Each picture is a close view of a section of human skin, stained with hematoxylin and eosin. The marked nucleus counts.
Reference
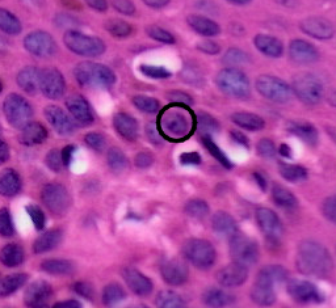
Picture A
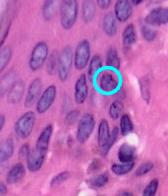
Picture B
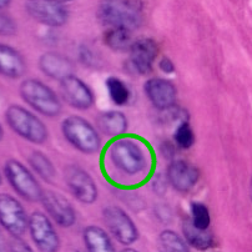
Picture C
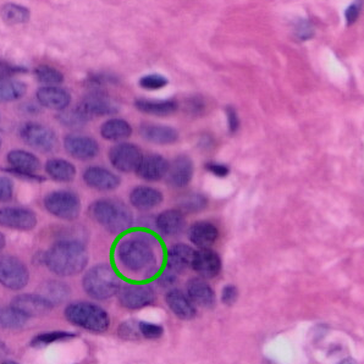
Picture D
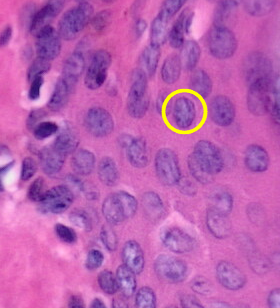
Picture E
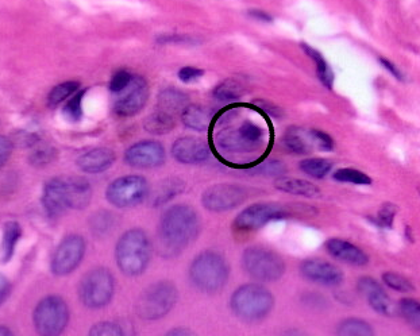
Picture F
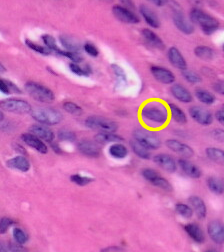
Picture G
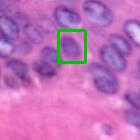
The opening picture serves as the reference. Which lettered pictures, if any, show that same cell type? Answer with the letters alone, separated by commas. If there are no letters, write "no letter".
A, C, E, F, G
